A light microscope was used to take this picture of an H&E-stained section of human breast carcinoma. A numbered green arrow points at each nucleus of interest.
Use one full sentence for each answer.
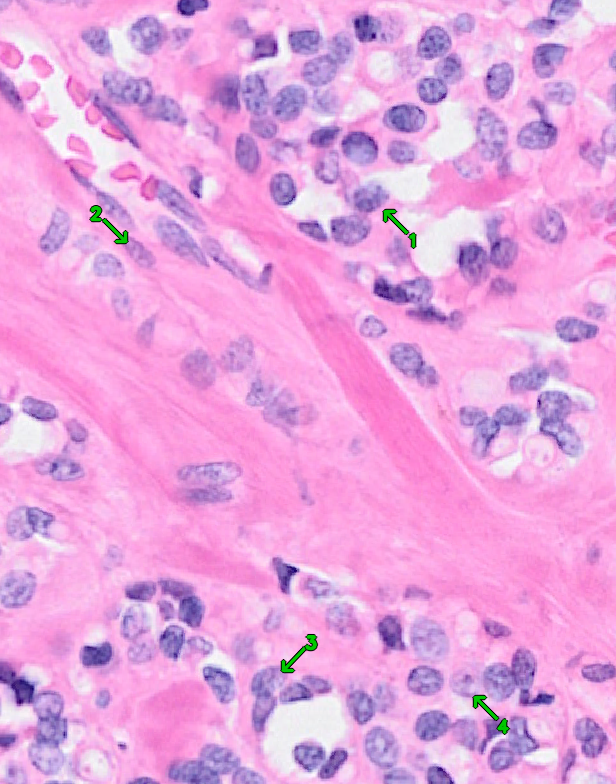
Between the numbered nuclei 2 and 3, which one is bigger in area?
Number 3 is larger; its area is about 1.5 times that of number 2.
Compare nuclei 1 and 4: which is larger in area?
Nucleus 1 covers more area, about 1.5 times as much as nucleus 4.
